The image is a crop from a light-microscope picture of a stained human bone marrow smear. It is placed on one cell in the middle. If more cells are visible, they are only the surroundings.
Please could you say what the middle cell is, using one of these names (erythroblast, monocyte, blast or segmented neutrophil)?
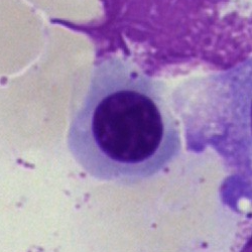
erythroblast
